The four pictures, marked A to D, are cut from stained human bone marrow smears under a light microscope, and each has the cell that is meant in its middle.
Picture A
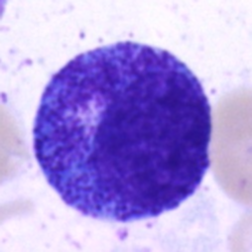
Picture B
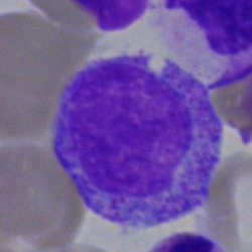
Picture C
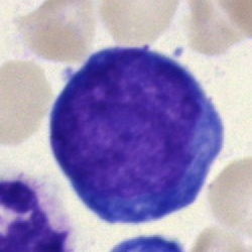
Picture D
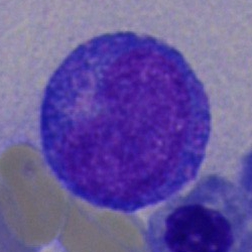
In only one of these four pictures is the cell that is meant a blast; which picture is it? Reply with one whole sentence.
The picture with the blast is C.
